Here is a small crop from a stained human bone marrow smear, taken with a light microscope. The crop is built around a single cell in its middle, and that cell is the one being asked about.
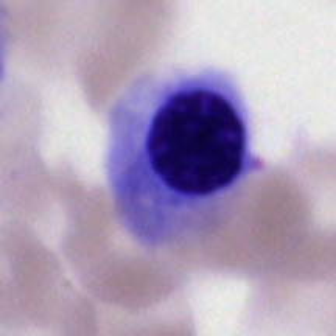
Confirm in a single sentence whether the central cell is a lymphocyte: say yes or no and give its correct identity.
No, the cell at the centre is an erythroblast, which rules out a lymphocyte.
